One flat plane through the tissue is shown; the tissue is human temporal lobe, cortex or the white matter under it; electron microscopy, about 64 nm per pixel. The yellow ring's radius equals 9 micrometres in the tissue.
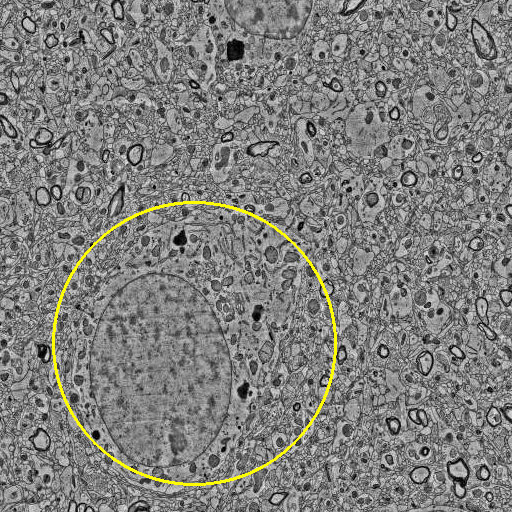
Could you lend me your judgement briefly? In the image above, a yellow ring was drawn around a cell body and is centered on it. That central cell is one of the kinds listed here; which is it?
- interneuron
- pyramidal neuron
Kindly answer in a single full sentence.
Going by the list, an interneuron is the kind at the ring's center in the picture.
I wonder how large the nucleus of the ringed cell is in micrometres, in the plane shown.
In this plane the nucleus measures roughly 12 by 9 micrometers.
